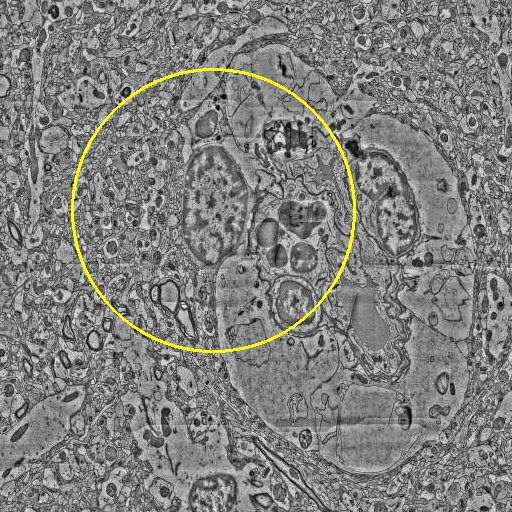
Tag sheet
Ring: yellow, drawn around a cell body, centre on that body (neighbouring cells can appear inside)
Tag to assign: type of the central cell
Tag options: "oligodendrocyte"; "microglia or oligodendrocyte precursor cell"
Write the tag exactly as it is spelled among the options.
oligodendrocyte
